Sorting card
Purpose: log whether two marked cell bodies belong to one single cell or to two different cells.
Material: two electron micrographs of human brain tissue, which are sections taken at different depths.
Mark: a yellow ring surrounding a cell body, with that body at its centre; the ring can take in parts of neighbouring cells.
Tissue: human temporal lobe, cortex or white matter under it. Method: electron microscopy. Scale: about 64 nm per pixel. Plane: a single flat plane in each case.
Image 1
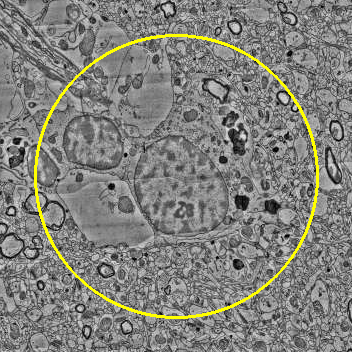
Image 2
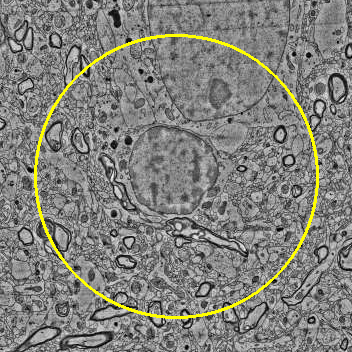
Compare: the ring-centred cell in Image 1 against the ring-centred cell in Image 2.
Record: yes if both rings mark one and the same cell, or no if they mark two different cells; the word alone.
no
